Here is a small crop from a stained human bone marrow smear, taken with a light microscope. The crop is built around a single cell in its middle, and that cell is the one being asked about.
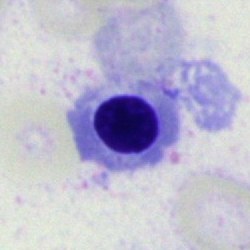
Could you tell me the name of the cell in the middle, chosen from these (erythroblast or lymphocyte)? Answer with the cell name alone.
erythroblast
